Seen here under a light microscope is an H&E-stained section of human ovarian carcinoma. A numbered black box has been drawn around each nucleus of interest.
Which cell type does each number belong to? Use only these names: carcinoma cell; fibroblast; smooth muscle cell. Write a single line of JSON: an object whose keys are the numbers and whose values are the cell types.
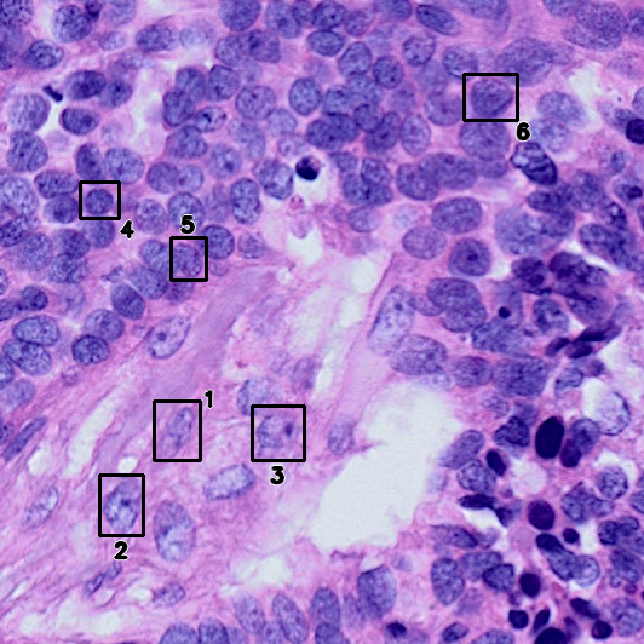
{"1": "fibroblast", "2": "fibroblast", "3": "fibroblast", "4": "carcinoma cell", "5": "carcinoma cell", "6": "carcinoma cell"}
